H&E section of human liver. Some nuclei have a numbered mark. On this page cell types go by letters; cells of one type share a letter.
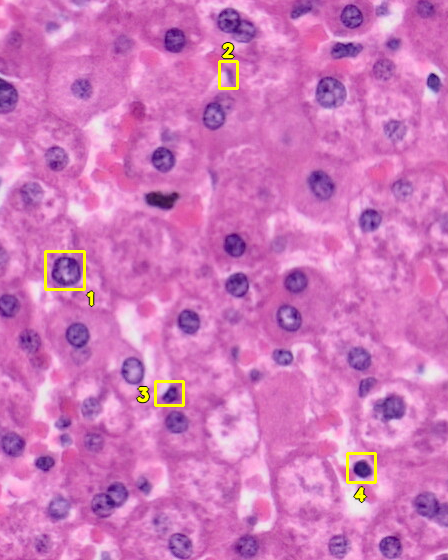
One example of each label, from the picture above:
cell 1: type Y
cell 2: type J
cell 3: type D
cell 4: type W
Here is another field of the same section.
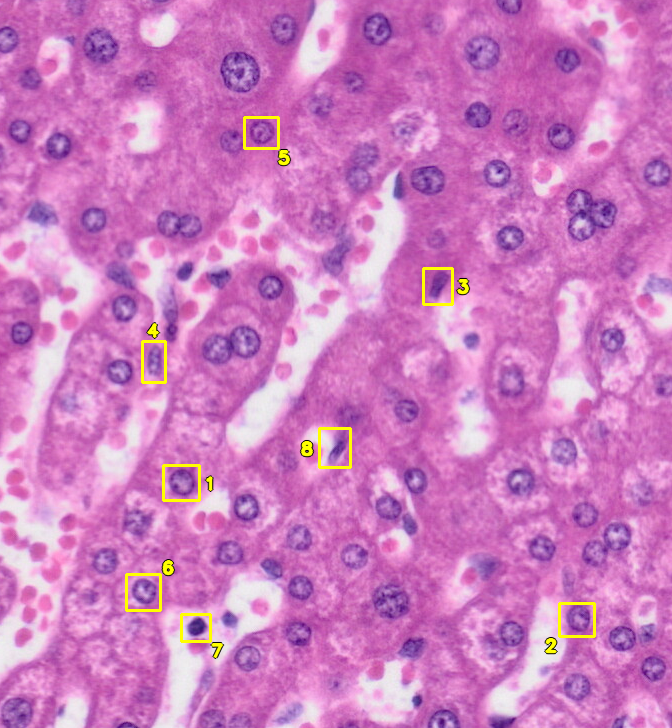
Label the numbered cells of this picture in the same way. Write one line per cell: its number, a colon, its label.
1: type Y
2: type Y
3: type D
4: type D
5: type Y
6: type Y
7: type W
8: type J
